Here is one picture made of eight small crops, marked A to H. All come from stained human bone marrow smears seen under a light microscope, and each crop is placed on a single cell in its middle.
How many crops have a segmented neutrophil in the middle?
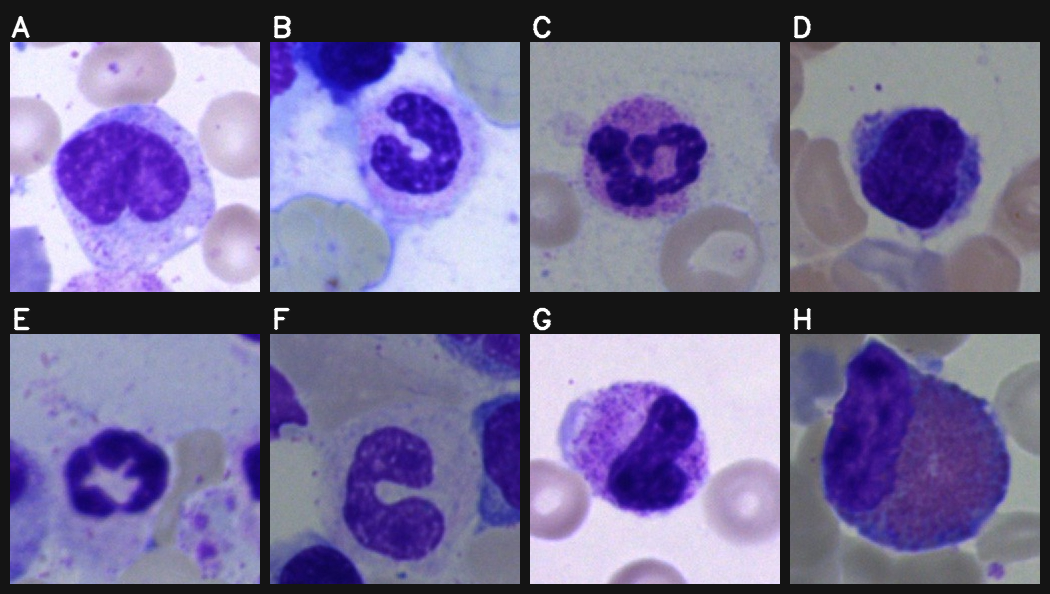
3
